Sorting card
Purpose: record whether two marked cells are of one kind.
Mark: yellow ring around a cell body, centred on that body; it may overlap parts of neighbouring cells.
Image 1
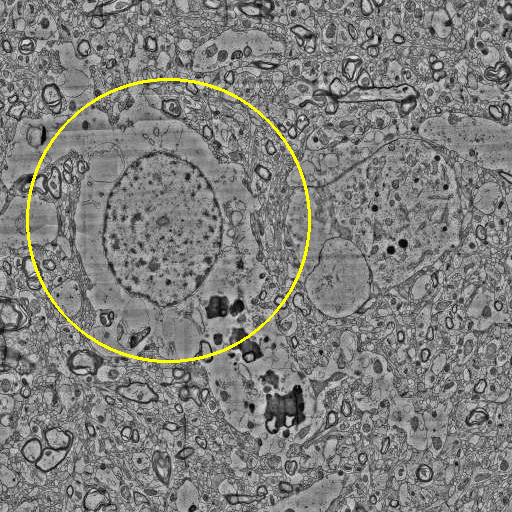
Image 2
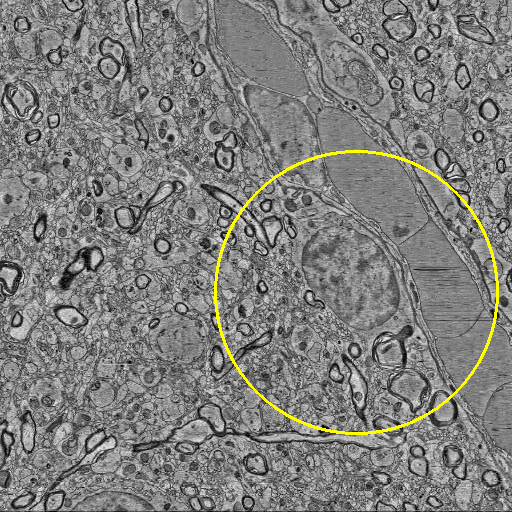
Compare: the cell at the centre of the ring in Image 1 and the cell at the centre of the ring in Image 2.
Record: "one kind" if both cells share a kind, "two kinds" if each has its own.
two kinds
